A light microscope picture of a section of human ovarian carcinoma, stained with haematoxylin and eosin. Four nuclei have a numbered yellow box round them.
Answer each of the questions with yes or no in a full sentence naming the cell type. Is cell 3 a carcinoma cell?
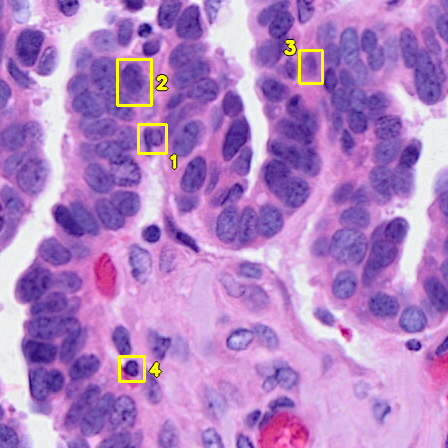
Yes, the cell shown as number 3 is a carcinoma cell.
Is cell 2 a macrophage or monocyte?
No, number 2 is assigned to a carcinoma cell, not to a macrophage or monocyte.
